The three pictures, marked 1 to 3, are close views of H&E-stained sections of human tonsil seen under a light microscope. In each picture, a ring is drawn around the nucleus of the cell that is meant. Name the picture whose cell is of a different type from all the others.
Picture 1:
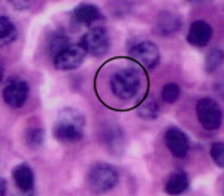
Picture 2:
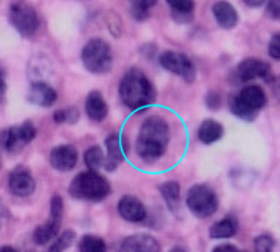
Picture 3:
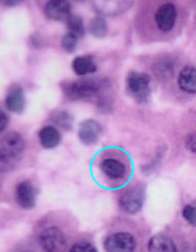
2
